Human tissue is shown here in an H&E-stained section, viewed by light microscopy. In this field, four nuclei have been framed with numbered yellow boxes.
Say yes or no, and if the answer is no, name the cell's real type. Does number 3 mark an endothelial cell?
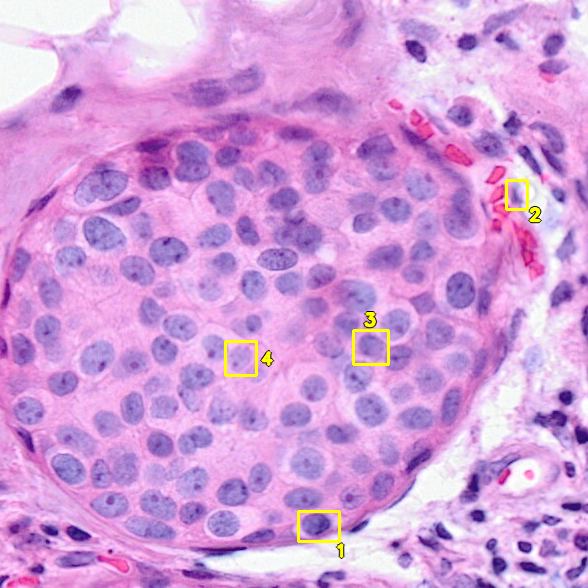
No, it is a carcinoma cell.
